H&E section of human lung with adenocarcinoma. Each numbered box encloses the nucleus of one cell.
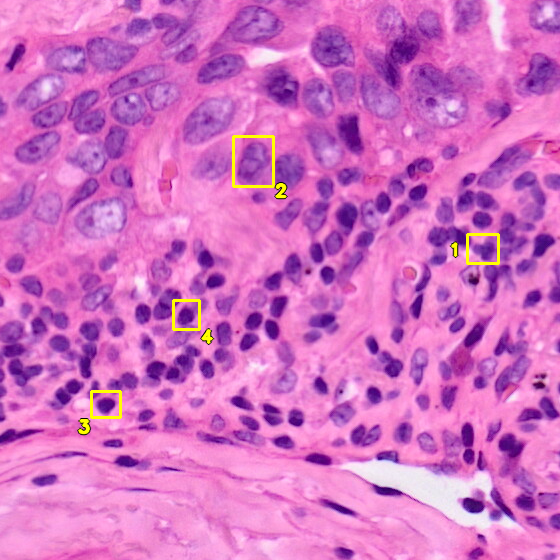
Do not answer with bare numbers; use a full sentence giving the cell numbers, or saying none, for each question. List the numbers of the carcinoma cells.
Only the cell with the number 2 is a carcinoma cell.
